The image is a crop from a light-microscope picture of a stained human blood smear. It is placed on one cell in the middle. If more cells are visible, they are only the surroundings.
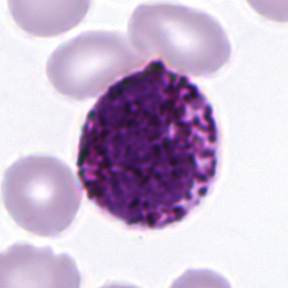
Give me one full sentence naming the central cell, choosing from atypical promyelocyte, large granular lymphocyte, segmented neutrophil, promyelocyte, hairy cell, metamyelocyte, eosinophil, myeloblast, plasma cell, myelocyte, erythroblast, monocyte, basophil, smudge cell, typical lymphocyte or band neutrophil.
By type, the central cell of the crop is a basophil.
